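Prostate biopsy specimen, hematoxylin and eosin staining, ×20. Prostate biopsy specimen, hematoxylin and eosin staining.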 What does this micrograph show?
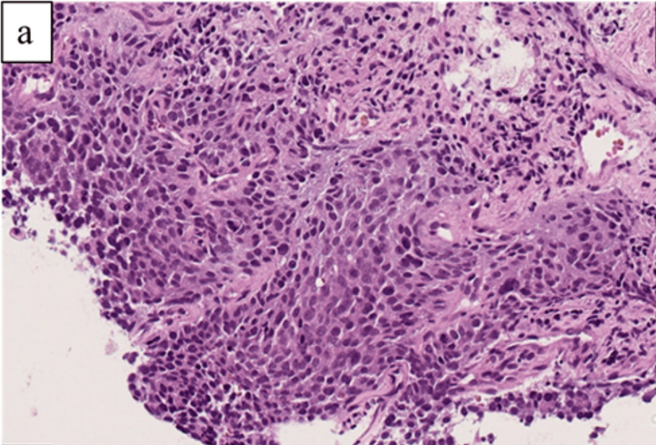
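This is a poorly differentiated adenocarcinoma, seen as solid sheets of densely crowded tumor cells with no recognizable glands or lumina. The nuclei are enlarged, oval to irregular and dark purple, varying in size and shape, and lie close together with scant to moderate pink cytoplasm. Thin, wavy strands of pink fibrous stroma and a few small vessels containing red blood cells run between the cell sheets. Normal glandular architecture with an orderly two-layered lining is absent throughout the field.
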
